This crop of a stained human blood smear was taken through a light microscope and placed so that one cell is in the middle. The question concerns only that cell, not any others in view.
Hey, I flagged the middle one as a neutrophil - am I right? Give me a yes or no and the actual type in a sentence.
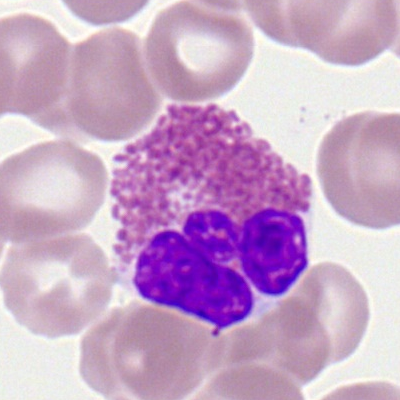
No, the cell located centrally is an eosinophil rather than a neutrophil.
